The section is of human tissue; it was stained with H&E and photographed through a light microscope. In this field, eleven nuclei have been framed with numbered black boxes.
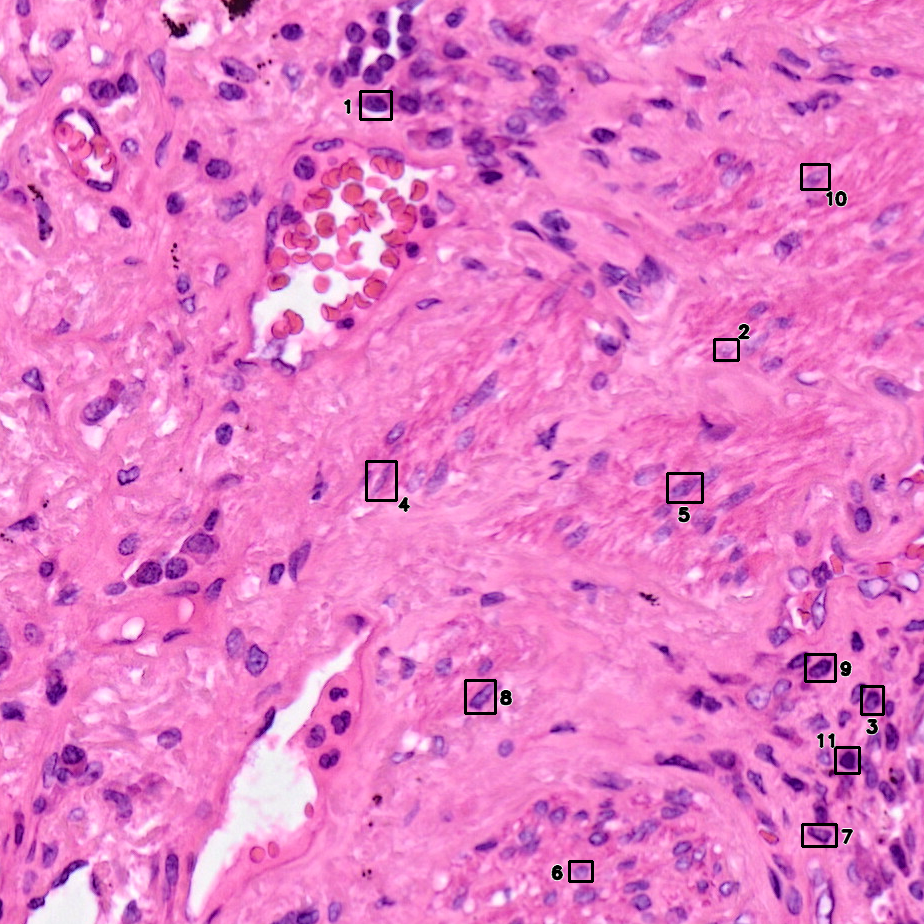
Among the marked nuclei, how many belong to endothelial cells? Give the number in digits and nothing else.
0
